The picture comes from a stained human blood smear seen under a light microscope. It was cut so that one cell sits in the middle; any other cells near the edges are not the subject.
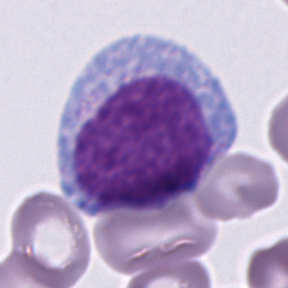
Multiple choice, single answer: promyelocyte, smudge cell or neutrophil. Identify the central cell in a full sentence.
Here the cell in the middle is a promyelocyte.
